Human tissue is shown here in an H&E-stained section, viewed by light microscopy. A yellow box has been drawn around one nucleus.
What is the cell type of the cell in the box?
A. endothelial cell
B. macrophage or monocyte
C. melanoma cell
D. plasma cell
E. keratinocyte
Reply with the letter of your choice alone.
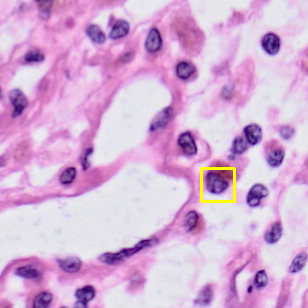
B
